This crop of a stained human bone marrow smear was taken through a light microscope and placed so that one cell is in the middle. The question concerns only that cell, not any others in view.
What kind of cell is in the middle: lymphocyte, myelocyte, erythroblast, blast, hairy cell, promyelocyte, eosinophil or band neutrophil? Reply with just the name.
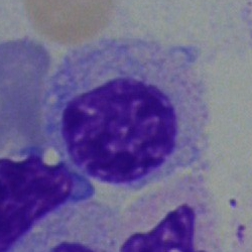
myelocyte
